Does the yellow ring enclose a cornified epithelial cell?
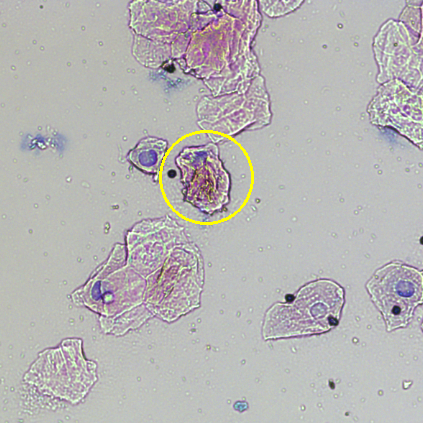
Yes. The ring encloses a cornified epithelial cell.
